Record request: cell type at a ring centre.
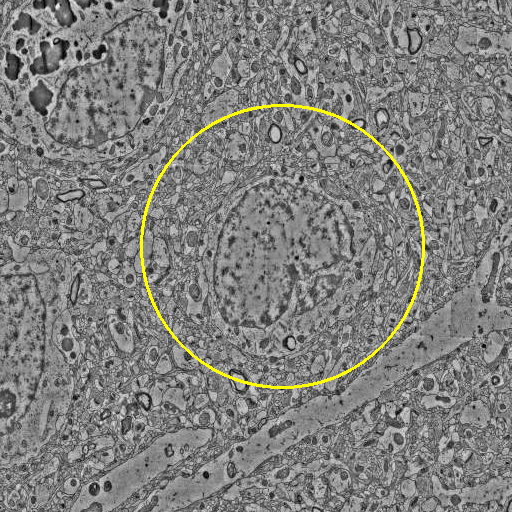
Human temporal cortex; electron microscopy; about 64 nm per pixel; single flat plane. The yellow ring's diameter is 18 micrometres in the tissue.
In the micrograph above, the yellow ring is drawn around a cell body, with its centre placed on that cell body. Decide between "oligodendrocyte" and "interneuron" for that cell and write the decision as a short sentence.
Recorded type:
The cell centred in the yellow ring is an interneuron.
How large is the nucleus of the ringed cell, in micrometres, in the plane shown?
The ringed cell's nucleus measures approximately 10 by 8 micrometres in this plane.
